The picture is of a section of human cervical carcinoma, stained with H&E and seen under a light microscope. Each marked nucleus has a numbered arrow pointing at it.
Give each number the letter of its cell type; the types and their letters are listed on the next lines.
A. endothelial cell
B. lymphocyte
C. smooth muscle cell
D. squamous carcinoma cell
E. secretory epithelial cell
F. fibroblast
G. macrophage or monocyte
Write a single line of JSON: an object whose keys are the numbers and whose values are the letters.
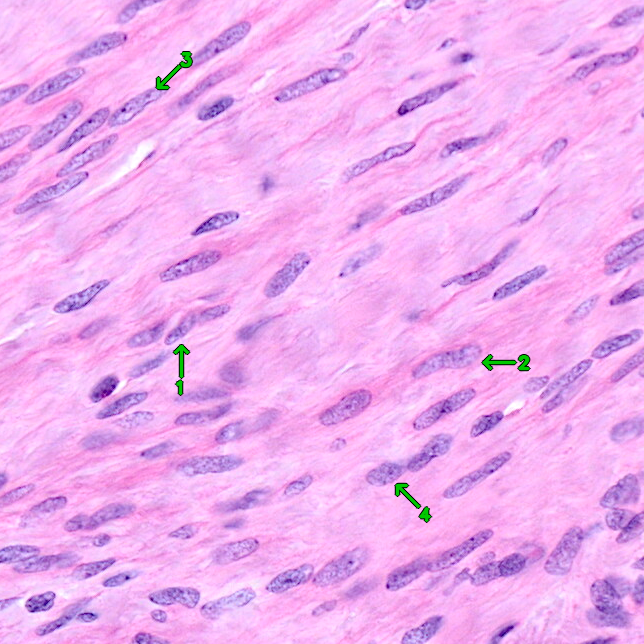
{"1": "C", "2": "C", "3": "C", "4": "F"}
